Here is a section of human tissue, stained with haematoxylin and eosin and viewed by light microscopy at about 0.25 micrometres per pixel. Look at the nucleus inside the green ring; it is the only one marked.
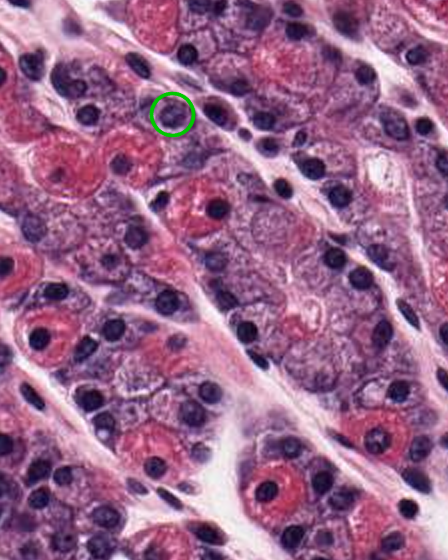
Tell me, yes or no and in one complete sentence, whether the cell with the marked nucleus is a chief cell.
Yes, the marked nucleus belongs to a chief cell in this image.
